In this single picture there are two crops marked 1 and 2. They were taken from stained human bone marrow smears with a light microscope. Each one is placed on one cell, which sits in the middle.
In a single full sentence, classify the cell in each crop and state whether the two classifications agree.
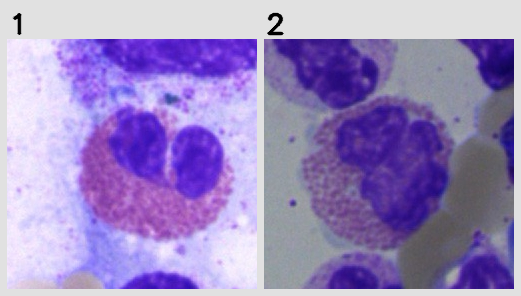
Yes, the two crops both show eosinophils.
